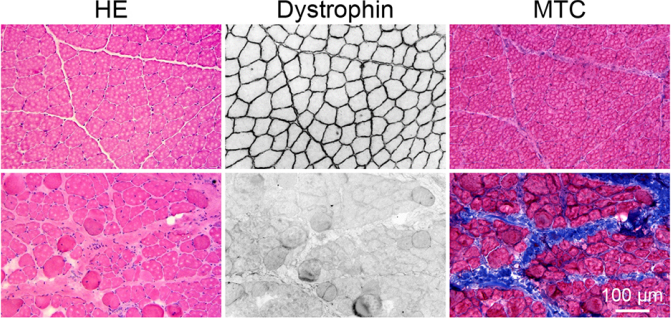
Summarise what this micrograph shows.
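Cross-sectioned skeletal muscle fibres are shown in six images, with the upper row showing evenly sized, tightly packed polygonal fibres and thin connective tissue between them. In the upper middle image every fibre is ringed by a sharp dark outline at its surface, while in the lower middle image these outlines are faint or missing. The lower left image shows fibres of uneven size, some large rounded darker fibres, and clusters of small nuclei in the spaces between fibres. In the lower right image broad blue bands of connective tissue separate groups of irregular red-purple fibres, unlike the thin pale lines in the upper right image.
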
